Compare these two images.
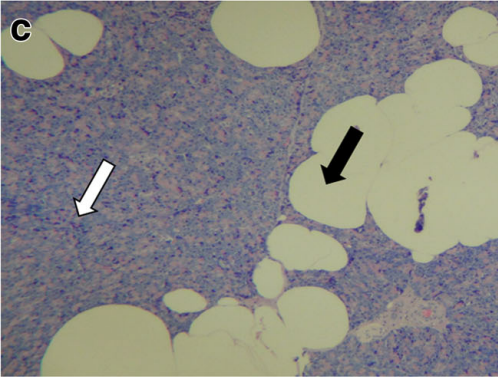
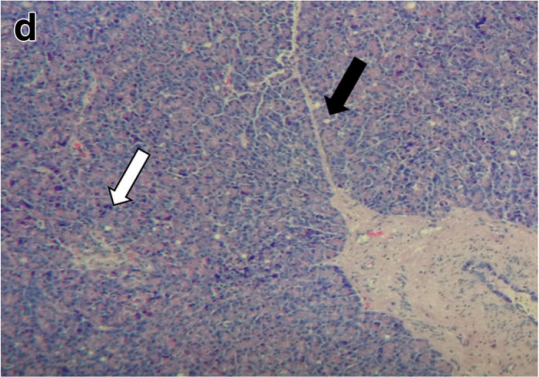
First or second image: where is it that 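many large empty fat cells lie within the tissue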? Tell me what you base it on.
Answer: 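First image: clusters of large round white empty spaces occupy much of the right and lower field.
Conclusion: the first image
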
